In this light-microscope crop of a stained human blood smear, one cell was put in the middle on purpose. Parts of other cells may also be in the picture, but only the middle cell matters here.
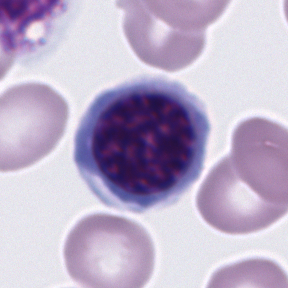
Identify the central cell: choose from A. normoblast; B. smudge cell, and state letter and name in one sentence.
The centrally located cell is a normoblast, making option A the correct choice.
